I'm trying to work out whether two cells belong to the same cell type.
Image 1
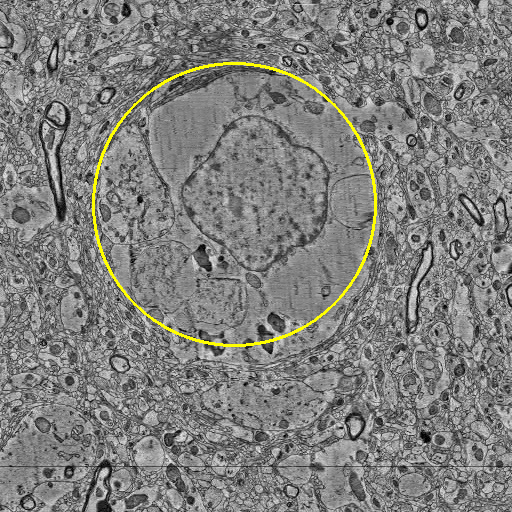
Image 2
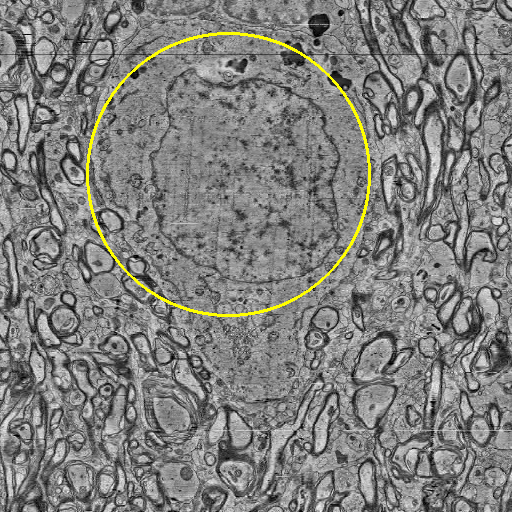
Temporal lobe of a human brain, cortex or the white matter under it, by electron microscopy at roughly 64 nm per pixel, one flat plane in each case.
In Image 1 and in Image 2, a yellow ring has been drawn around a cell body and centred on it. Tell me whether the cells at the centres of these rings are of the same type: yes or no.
no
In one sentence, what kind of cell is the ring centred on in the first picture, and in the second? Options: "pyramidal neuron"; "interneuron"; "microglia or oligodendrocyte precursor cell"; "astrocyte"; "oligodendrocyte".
The cell at the centre of the second ring is a pyramidal neuron; the first ring's cell is an astrocyte.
